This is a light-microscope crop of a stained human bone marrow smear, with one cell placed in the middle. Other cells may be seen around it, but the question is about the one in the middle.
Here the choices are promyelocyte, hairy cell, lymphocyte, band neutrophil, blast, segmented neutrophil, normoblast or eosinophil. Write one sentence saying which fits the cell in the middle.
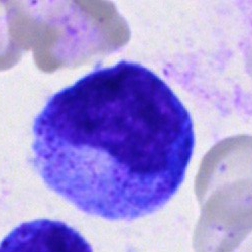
The cell positioned in the middle of the field is a promyelocyte.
